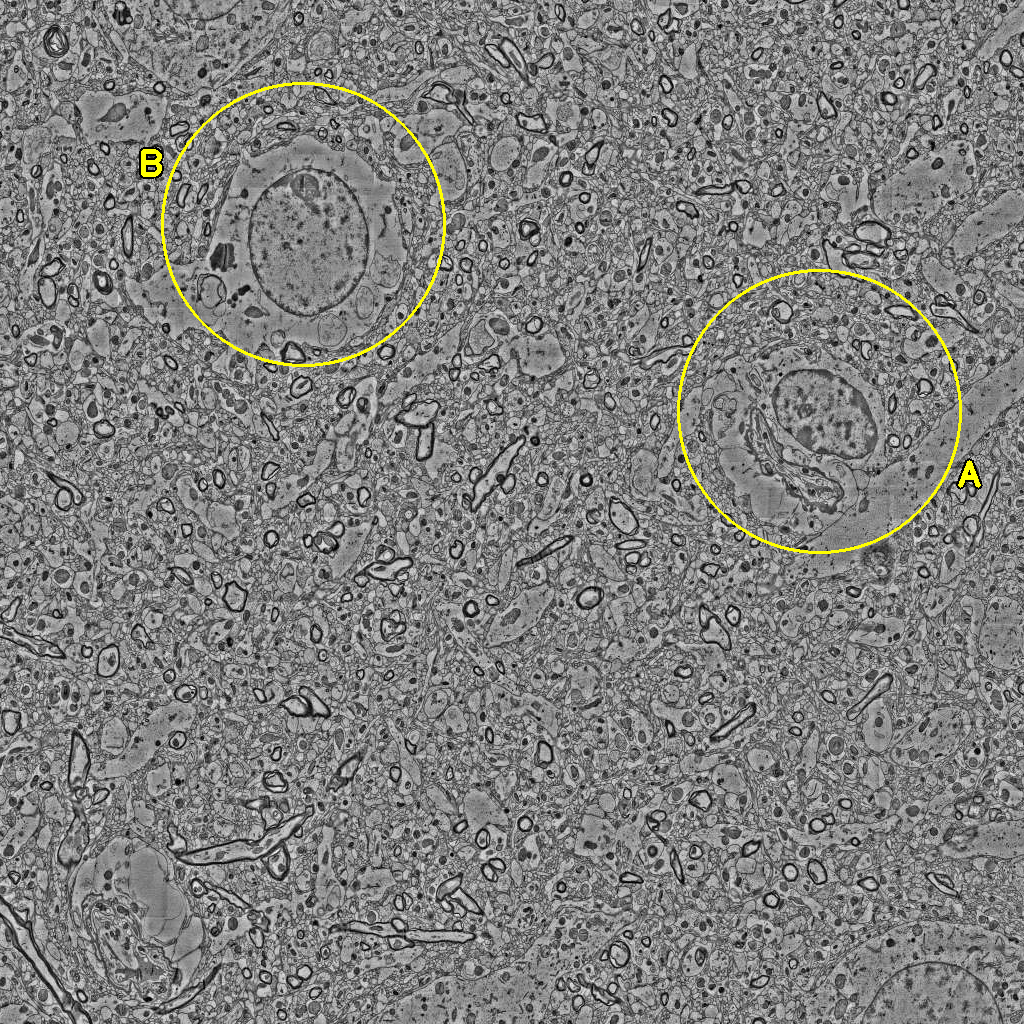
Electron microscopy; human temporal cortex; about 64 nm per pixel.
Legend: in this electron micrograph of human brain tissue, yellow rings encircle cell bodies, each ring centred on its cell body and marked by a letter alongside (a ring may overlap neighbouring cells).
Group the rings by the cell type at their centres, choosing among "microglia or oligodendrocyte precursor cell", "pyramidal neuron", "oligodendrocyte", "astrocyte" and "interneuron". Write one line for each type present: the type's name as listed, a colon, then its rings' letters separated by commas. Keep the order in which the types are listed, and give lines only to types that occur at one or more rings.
microglia or oligodendrocyte precursor cell: A
astrocyte: B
